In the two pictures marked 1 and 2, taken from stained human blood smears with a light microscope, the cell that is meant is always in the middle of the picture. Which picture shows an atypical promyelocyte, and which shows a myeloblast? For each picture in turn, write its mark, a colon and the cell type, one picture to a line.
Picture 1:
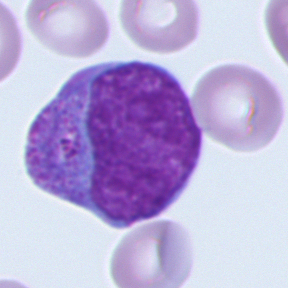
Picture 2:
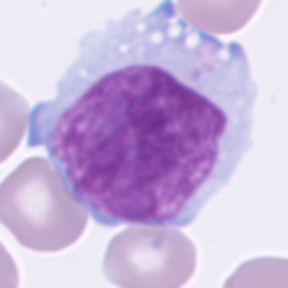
1: atypical promyelocyte
2: myeloblast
